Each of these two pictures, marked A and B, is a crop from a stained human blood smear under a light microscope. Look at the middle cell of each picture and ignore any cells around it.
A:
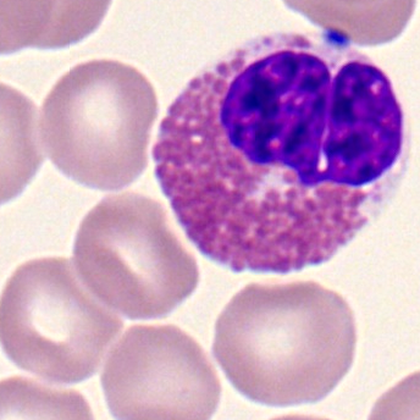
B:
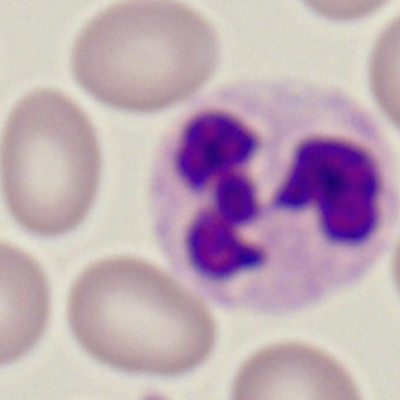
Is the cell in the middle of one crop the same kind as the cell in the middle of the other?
no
